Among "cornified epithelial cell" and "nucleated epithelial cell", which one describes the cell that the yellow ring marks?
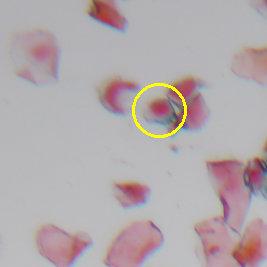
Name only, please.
nucleated epithelial cell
